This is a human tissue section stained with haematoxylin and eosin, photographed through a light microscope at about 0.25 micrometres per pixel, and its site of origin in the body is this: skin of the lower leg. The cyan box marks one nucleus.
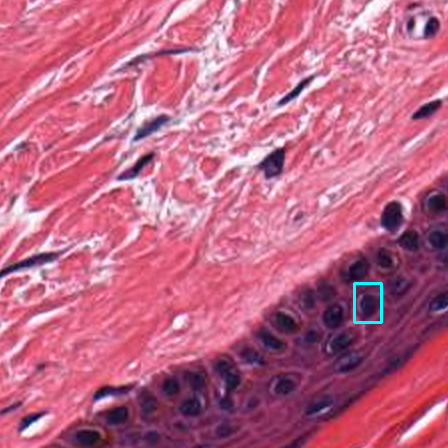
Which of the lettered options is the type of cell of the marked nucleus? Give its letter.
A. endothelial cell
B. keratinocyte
B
